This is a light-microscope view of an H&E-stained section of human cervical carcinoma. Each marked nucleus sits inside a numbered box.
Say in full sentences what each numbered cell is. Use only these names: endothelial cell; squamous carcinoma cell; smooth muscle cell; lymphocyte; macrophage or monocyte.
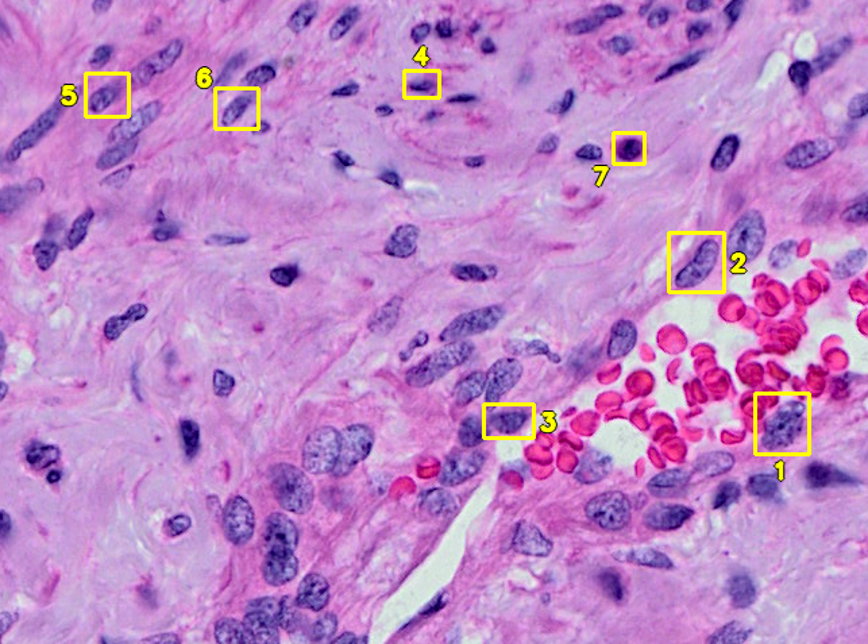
Cells 1, 2 and 3 are endothelial cells. Cells 4, 5, 6 and 7 are smooth muscle cells.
